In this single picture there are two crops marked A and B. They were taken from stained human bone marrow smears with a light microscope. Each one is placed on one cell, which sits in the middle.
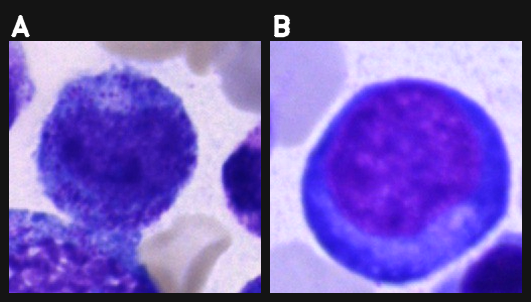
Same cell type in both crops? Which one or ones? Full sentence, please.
No, crop B centres on a proerythroblast, and crop A centres on a promyelocyte.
